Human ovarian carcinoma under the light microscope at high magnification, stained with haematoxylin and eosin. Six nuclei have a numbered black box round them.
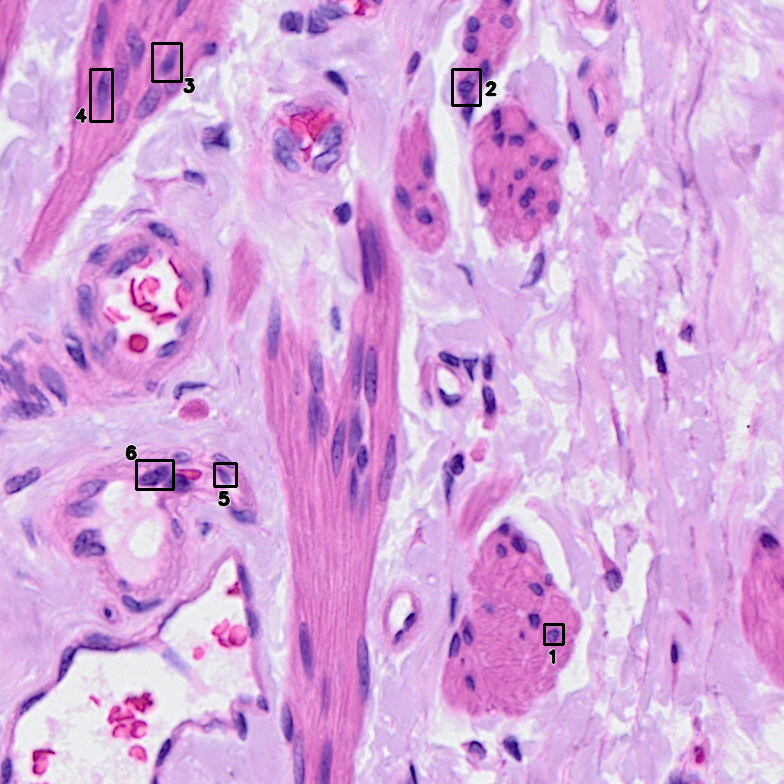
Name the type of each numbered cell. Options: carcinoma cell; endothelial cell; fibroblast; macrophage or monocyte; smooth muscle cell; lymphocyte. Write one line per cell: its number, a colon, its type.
1: smooth muscle cell
2: smooth muscle cell
3: smooth muscle cell
4: smooth muscle cell
5: endothelial cell
6: endothelial cell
